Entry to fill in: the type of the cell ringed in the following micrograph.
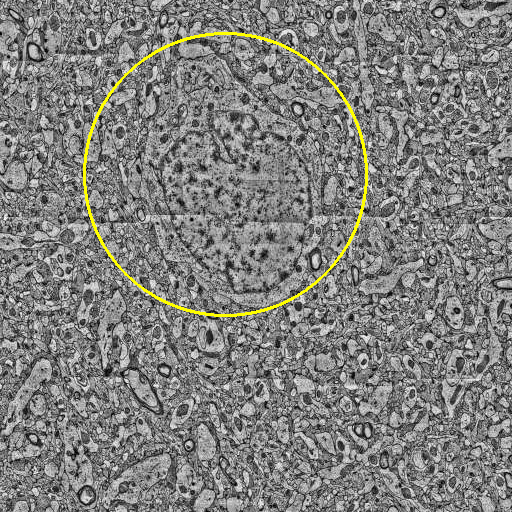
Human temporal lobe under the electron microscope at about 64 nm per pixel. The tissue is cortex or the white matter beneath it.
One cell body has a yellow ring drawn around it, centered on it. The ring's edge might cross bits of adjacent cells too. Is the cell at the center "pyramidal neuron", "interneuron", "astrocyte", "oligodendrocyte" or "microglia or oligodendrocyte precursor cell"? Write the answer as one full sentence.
This entry names an interneuron as the cell whose body lies at the ring's center.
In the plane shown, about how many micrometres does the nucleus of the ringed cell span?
In this plane, the nucleus is roughly 11 by 9 micrometres.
